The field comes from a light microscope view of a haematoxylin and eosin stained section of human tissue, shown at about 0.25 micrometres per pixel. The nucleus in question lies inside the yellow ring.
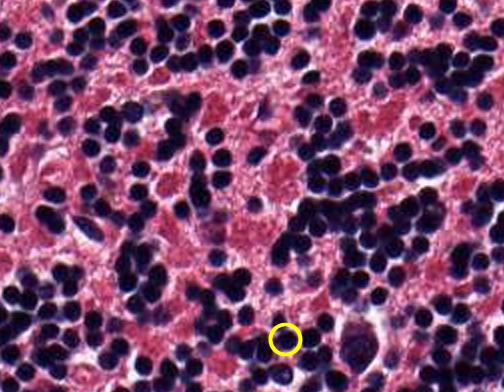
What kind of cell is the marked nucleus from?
cerebellar granule cell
